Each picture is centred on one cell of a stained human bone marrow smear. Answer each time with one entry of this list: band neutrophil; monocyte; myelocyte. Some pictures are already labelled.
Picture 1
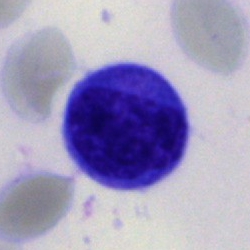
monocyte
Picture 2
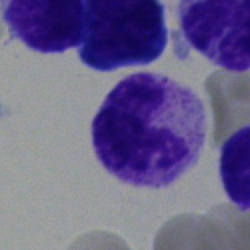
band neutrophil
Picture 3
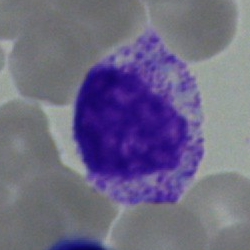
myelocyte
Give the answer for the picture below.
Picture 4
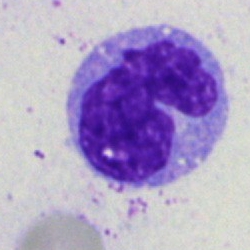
monocyte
